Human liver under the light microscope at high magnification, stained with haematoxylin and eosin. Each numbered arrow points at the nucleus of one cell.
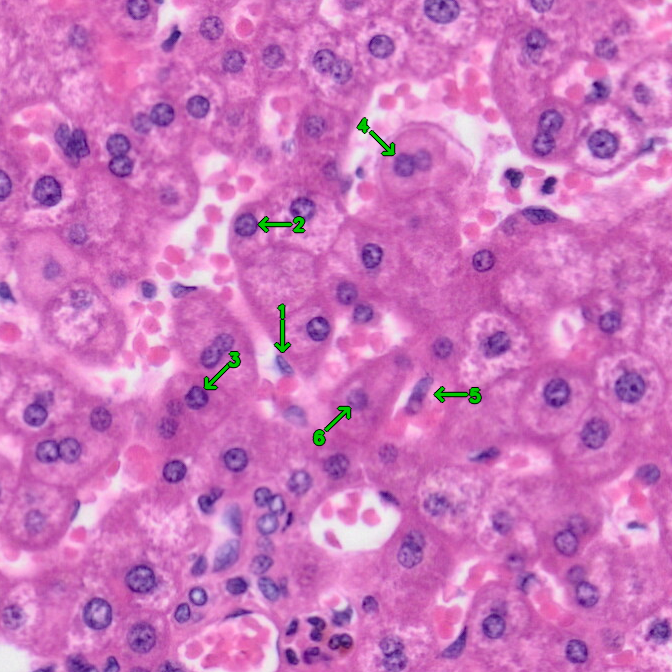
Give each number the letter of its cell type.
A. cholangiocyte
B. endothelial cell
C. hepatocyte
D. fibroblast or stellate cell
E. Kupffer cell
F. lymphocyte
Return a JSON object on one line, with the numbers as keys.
{"1": "B", "2": "C", "3": "C", "4": "C", "5": "E", "6": "C"}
